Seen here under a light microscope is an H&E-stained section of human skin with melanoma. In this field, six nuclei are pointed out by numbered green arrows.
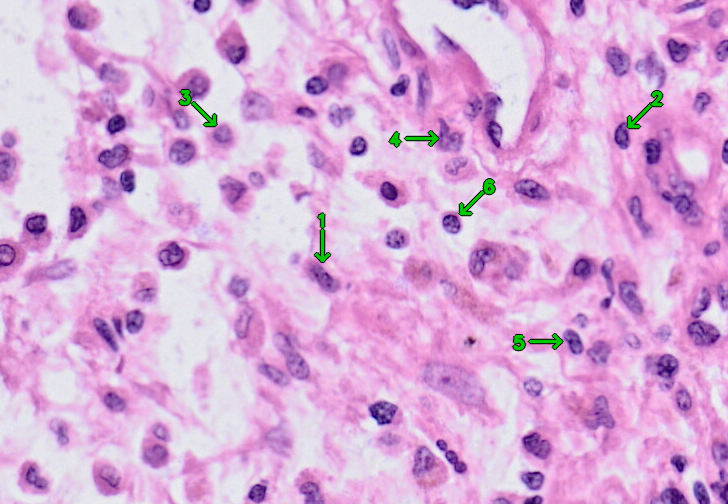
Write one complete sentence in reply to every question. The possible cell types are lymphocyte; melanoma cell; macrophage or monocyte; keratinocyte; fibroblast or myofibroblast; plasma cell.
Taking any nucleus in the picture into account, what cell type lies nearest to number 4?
Number 4 lies closest to the nucleus of a macrophage or monocyte.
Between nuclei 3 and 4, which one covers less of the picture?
Number 3 is smaller, since number 4 takes up about 1.5 times as much area.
